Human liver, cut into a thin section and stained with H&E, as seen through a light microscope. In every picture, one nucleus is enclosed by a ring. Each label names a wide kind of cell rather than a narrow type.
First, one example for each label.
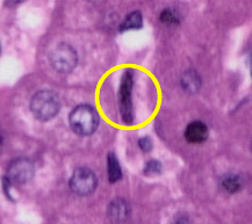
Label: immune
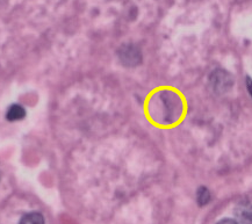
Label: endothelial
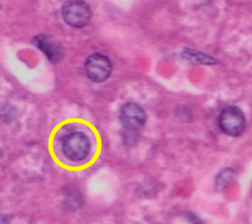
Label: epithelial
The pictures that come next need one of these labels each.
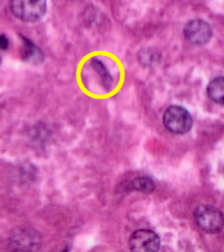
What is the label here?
endothelial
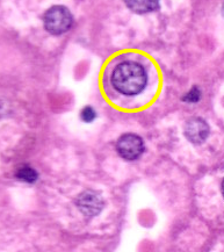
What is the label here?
epithelial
